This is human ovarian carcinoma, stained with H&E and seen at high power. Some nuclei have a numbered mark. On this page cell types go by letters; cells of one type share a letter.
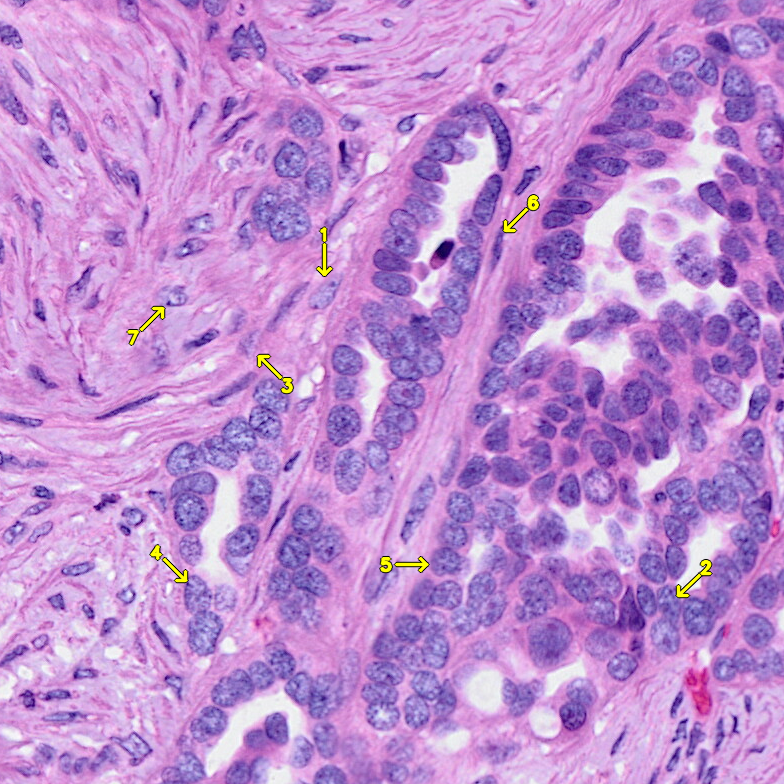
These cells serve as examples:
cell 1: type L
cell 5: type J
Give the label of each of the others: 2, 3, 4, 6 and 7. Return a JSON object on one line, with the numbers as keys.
{"2": "type J", "3": "type L", "4": "type J", "6": "type L", "7": "type L"}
